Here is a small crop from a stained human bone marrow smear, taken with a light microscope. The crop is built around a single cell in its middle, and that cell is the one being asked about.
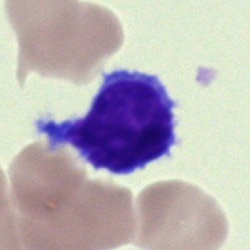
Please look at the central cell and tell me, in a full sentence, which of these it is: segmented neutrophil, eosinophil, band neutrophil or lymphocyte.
The cell centered in this field of view is a lymphocyte.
